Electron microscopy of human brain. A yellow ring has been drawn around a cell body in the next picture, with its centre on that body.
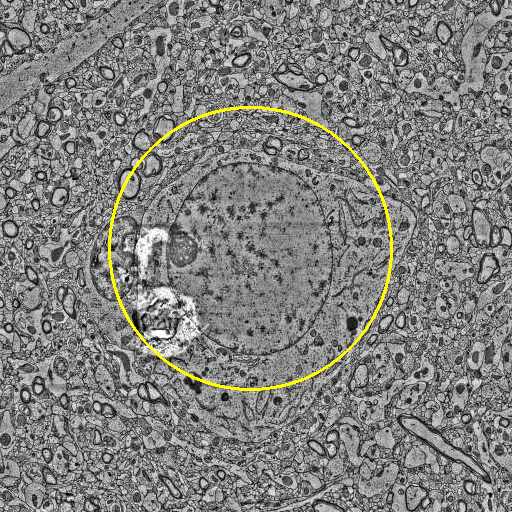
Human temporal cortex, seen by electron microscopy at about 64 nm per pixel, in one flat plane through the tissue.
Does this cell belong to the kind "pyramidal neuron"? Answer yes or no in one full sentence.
Yes, the ringed cell in this picture, sitting at the ring's centre, is of that kind.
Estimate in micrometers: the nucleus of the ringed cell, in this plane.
In this plane, roughly 13 by 11 micrometres.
